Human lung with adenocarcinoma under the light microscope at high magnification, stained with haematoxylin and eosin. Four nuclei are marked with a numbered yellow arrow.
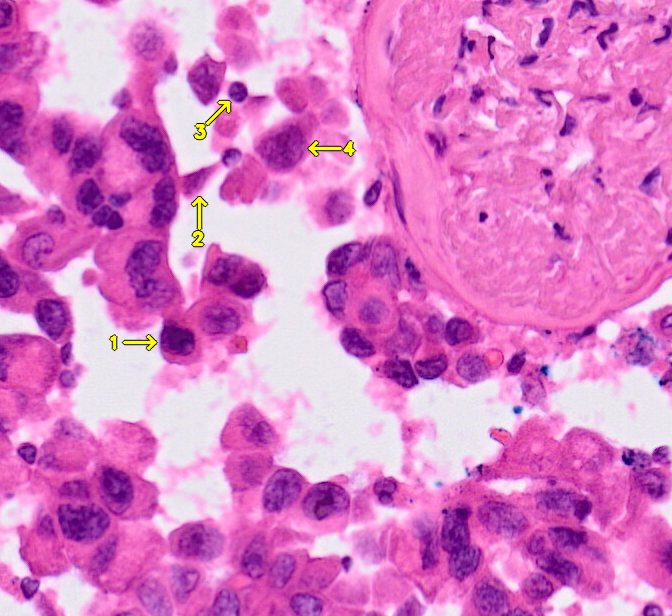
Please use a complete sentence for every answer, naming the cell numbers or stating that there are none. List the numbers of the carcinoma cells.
The cells assigned the numbers 1, 2 and 4 are carcinoma cells.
